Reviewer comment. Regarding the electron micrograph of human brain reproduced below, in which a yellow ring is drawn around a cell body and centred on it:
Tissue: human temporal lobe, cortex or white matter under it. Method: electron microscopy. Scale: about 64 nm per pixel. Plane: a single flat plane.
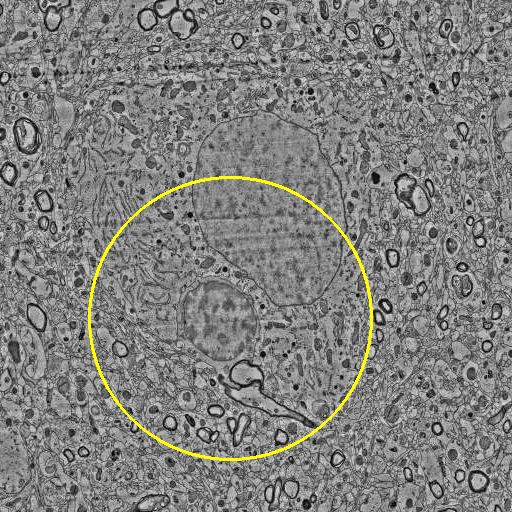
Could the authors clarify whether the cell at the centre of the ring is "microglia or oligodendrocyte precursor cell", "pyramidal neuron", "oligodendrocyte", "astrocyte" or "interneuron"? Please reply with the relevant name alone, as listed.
oligodendrocyte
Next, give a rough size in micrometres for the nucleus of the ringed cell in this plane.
The nucleus appears about 5 micrometres across in this plane.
